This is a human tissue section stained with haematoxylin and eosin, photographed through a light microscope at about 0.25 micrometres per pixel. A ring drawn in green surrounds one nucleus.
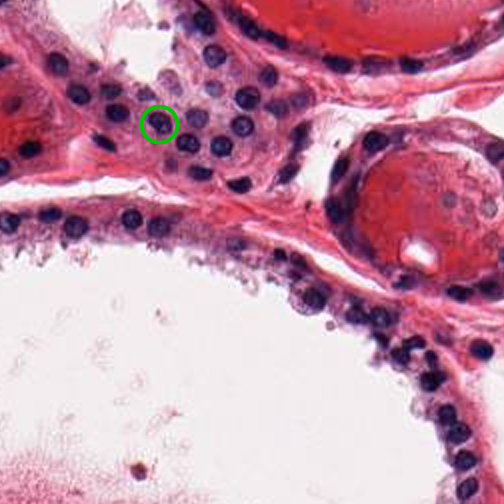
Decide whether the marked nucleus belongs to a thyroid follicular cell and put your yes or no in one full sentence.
Yes, the cell that holds the marked nucleus is a thyroid follicular cell.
